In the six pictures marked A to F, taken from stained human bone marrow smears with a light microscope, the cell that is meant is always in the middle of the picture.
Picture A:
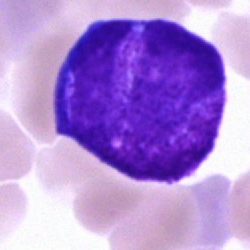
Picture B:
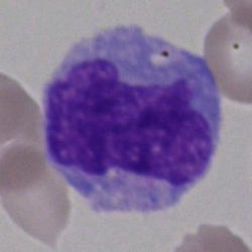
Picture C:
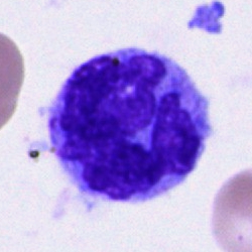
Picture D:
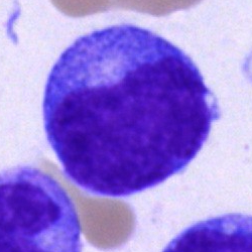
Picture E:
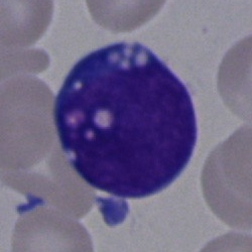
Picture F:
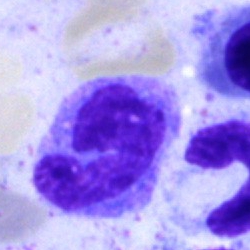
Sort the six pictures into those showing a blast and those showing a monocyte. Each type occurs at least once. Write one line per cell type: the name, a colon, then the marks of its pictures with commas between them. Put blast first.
blast: A, D, E
monocyte: B, C, F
